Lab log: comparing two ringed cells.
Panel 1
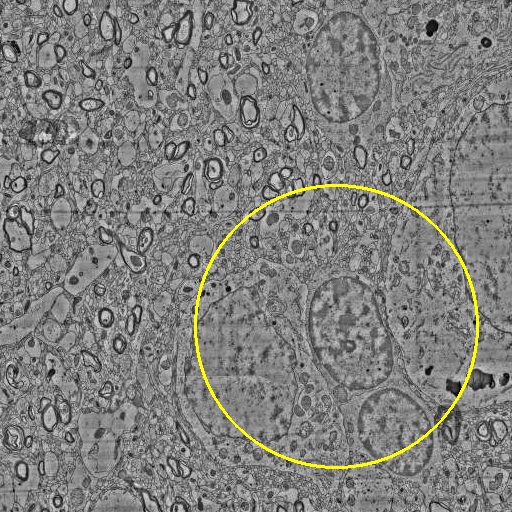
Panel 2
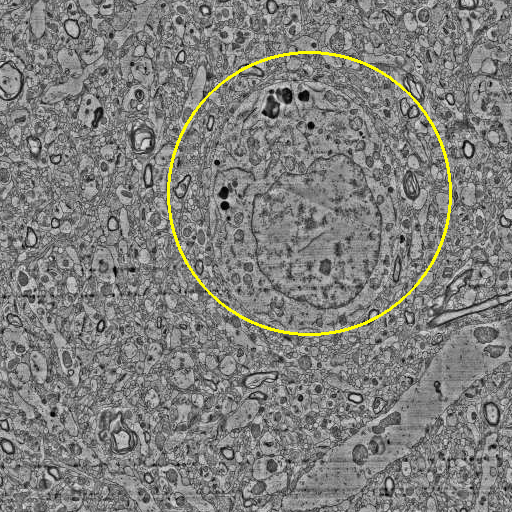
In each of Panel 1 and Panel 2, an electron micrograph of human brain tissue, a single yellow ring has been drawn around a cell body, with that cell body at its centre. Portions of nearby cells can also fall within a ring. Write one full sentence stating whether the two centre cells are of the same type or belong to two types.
The cells at the ring centres in Panel 1 and Panel 2 belong to two types.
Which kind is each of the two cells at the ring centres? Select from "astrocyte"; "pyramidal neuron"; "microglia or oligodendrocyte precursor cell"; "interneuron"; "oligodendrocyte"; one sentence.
The cell at the centre of the ring is an oligodendrocyte in the first picture and an interneuron in the second.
